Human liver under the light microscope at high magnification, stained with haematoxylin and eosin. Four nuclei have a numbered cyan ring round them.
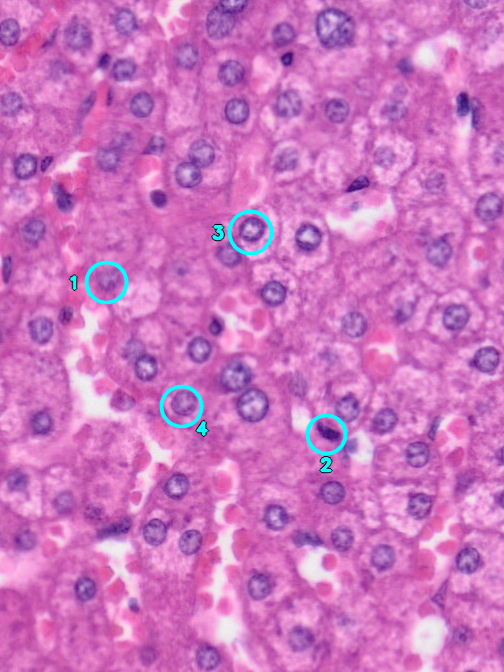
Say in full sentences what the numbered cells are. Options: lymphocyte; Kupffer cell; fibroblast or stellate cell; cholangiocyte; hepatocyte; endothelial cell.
Cell 1 is a hepatocyte, cell 2 is a fibroblast or stellate cell, cell 3 is a hepatocyte and cell 4 is a hepatocyte.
